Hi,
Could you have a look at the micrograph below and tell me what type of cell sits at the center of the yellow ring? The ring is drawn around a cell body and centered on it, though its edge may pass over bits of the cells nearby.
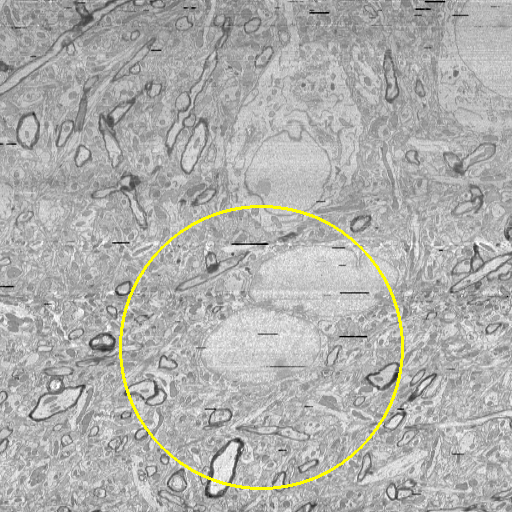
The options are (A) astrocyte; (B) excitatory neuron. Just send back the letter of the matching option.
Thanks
A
